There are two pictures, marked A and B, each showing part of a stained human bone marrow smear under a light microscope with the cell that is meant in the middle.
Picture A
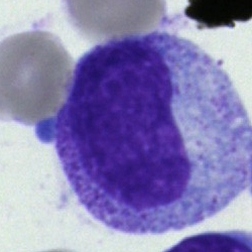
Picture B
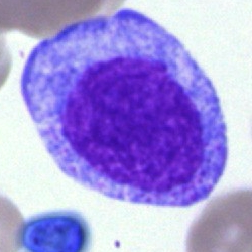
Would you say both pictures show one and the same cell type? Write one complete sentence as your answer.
Yes, they are the same type: both are promyelocytes.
